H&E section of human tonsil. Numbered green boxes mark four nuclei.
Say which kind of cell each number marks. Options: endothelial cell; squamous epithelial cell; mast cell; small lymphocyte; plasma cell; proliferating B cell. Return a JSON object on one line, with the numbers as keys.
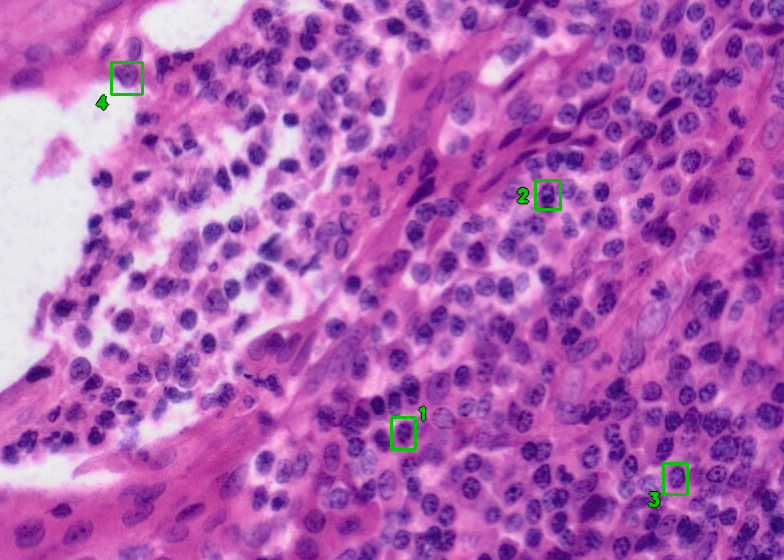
{"1": "plasma cell", "2": "plasma cell", "3": "plasma cell", "4": "squamous epithelial cell"}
